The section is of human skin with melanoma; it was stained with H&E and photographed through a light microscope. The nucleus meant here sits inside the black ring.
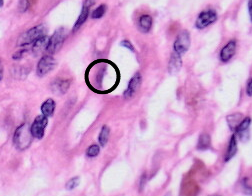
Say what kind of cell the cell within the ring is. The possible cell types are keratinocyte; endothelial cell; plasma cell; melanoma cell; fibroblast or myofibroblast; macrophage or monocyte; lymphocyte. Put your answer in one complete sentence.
Speaking plainly, the cell within the ring is nothing other than an endothelial cell.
